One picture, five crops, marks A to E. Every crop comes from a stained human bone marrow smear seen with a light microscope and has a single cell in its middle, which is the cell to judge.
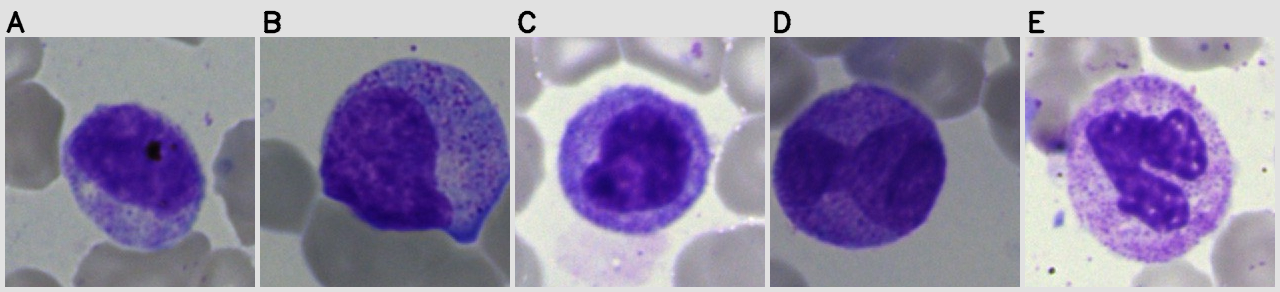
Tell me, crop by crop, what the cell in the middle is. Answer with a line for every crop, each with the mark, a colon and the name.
A: myelocyte
B: promyelocyte
C: metamyelocyte
D: blast
E: band neutrophil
